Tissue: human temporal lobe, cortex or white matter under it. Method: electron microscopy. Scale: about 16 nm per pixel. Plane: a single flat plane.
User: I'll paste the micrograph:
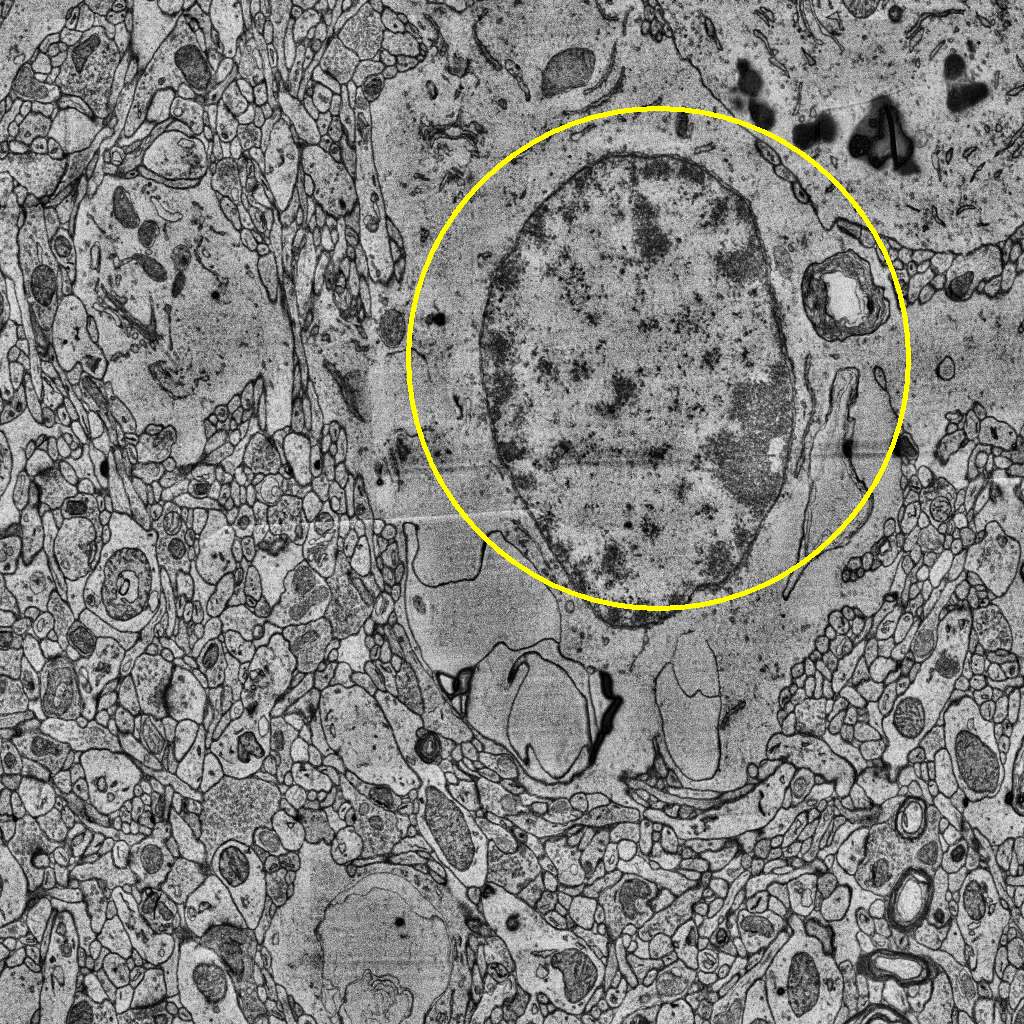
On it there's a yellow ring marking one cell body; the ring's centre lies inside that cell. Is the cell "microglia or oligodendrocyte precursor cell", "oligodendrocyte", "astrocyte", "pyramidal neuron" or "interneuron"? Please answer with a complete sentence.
The cell at the centre of the yellow ring is an astrocyte.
